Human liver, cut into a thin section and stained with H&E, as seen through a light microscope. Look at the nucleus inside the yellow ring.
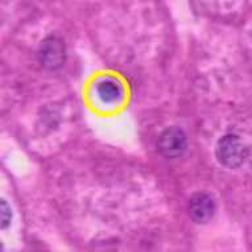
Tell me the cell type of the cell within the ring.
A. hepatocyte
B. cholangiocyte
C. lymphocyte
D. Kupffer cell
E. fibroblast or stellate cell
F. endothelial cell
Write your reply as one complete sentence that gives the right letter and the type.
Looking at the options, pick C; the cell within the ring is a lymphocyte.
